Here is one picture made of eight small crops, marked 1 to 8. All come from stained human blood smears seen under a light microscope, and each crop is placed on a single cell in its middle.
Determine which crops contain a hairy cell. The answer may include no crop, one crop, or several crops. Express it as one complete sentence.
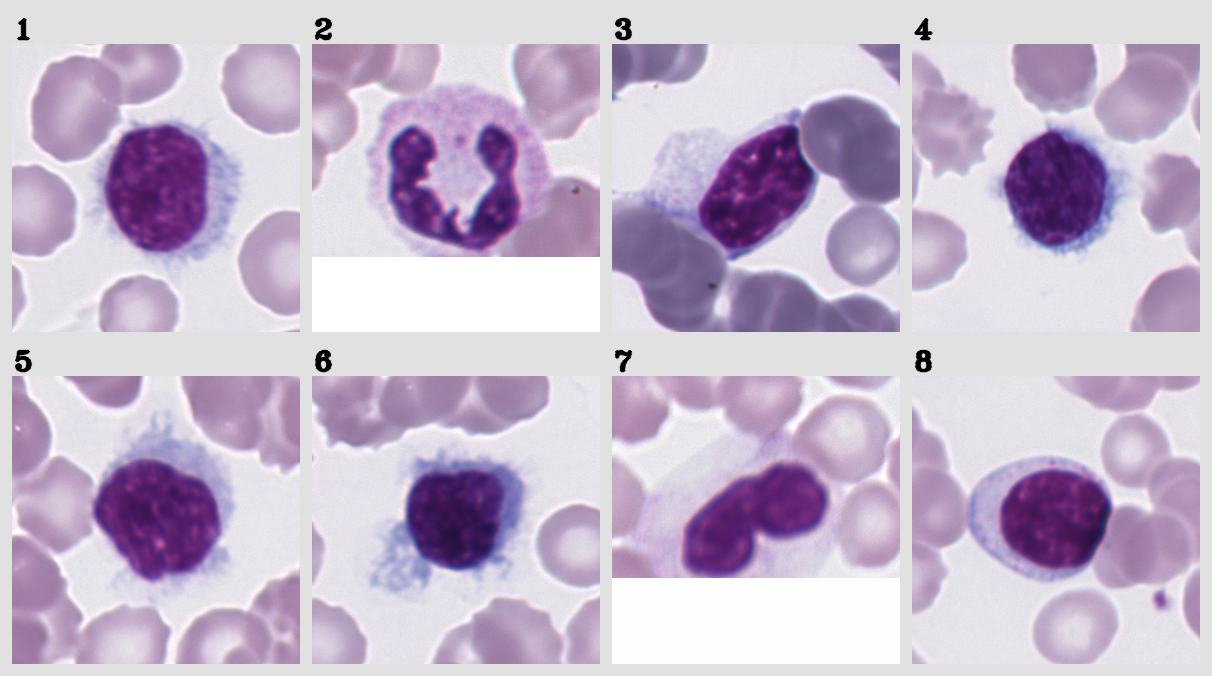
The central cells in crops 1, 4, 5 and 6 are recognised as hairy cells.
